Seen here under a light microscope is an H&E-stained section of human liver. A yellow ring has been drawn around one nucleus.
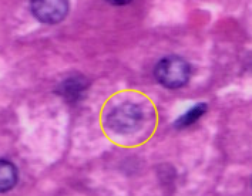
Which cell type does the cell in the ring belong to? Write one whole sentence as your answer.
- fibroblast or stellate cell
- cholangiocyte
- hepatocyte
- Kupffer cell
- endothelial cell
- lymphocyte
The cell in the ring is a hepatocyte.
